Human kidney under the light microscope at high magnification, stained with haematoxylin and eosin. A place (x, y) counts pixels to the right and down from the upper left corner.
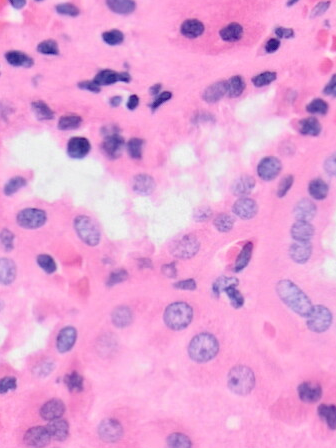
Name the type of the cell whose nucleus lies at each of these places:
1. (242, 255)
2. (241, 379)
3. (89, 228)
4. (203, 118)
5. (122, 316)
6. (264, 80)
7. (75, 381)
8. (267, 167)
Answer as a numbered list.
1. endothelial cell
2. proximal tubule cell
3. loop of Henle or distal tubule cell
4. loop of Henle or distal tubule cell
5. proximal tubule cell
6. loop of Henle or distal tubule cell
7. proximal tubule cell
8. loop of Henle or distal tubule cell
